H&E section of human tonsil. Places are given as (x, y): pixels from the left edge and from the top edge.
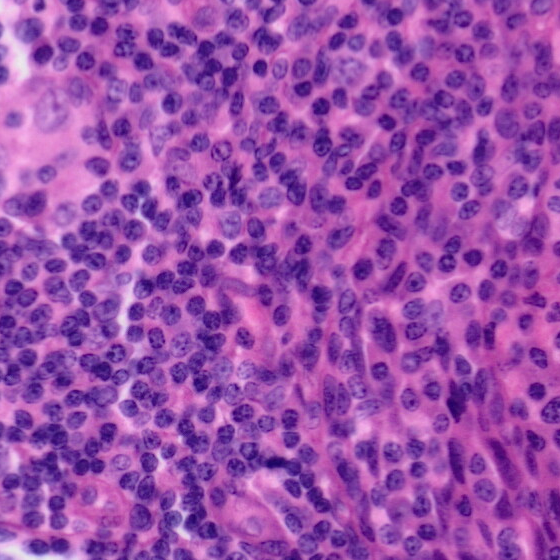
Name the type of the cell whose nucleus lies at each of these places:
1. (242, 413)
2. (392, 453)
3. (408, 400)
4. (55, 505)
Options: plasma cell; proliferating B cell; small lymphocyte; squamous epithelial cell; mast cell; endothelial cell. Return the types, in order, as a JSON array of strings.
["plasma cell", "plasma cell", "plasma cell", "small lymphocyte"]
